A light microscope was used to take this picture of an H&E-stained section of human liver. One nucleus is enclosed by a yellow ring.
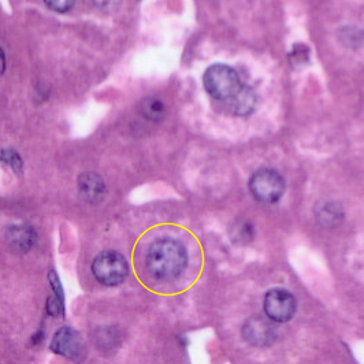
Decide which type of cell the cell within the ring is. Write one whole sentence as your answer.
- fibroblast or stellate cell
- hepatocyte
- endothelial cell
This is a hepatocyte.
